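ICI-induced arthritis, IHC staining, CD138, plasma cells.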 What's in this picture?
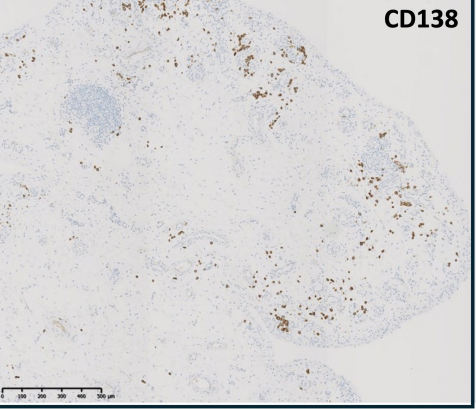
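The brown cells lie singly and in loose clusters, many of them around small vessels, and are most numerous along the upper edge and in the right and lower right part of the frond. A round aggregate of densely packed blue cells at the upper left contains almost no brown cells. The surface of the tissue is not stained.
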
